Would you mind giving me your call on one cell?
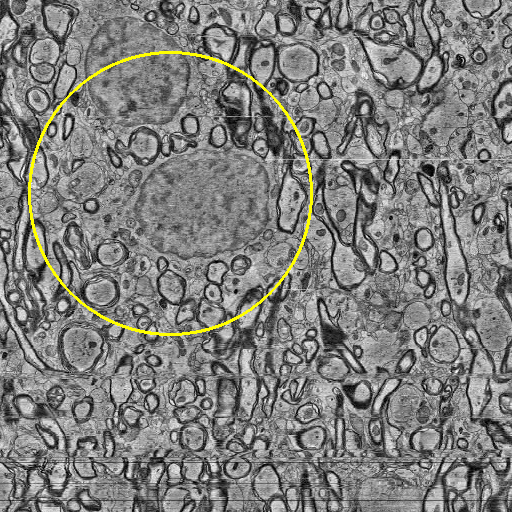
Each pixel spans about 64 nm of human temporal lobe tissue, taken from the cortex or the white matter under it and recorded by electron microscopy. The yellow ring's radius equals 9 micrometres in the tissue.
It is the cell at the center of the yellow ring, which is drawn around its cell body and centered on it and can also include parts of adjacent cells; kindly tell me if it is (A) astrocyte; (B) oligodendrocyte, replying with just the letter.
B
